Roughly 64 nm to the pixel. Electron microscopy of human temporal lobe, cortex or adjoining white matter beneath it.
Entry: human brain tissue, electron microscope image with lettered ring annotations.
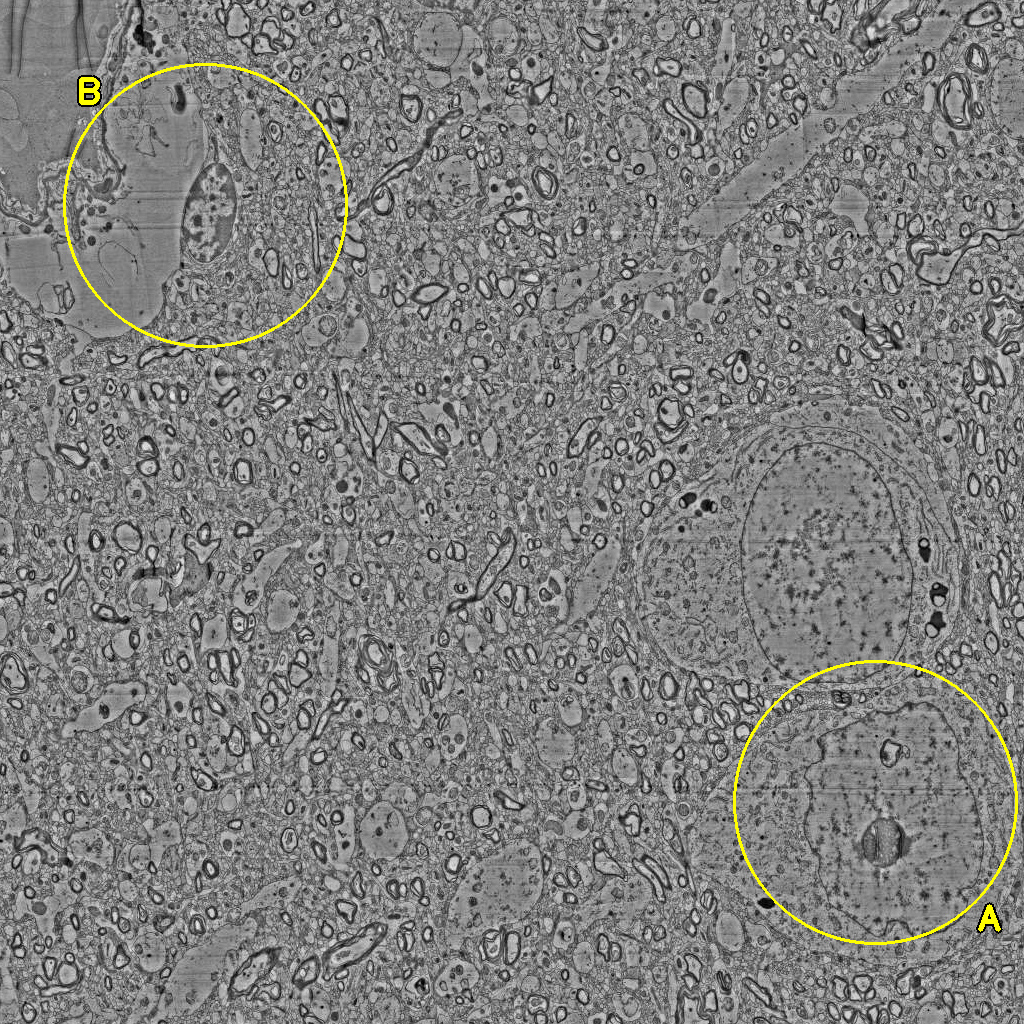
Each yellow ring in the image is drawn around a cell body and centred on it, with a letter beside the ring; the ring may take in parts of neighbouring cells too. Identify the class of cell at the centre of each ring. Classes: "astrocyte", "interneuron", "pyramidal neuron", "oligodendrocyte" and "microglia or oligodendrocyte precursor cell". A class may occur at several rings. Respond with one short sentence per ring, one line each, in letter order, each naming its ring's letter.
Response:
Ring A holds a pyramidal neuron at its centre.
Ring B holds a microglial cell or oligodendrocyte precursor cell at its centre.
